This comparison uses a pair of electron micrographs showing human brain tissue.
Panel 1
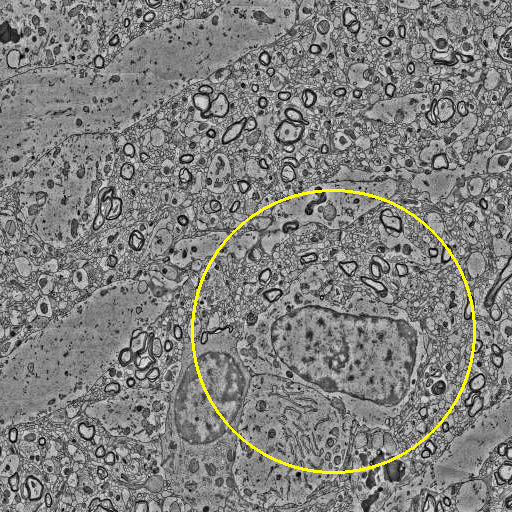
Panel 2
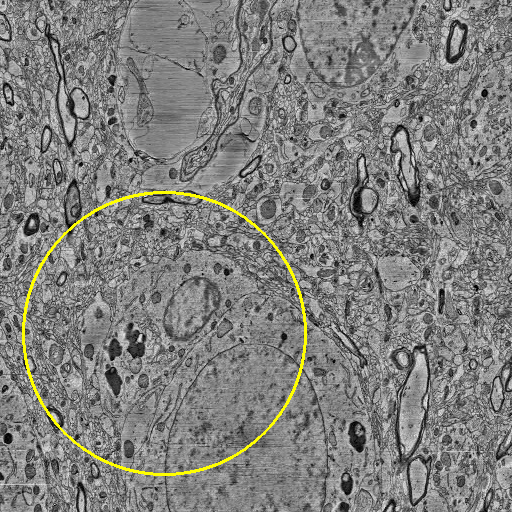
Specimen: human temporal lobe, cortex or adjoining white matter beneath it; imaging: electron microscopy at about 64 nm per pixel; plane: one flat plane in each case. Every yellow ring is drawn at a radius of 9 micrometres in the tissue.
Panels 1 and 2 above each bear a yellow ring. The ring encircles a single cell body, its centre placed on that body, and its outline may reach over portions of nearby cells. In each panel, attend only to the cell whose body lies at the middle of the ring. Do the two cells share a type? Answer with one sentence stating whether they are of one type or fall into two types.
In Panel 1 and Panel 2, the cells at the centres of the rings fall into two types.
